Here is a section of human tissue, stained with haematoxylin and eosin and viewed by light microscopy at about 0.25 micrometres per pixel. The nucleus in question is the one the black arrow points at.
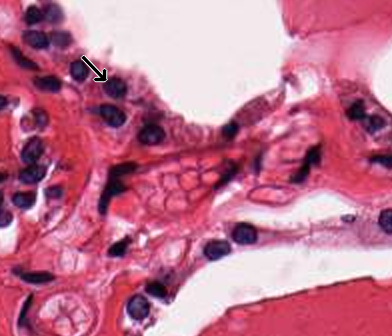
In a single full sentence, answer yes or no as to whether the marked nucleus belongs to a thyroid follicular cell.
Yes, the marked nucleus is identified as that of a thyroid follicular cell.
